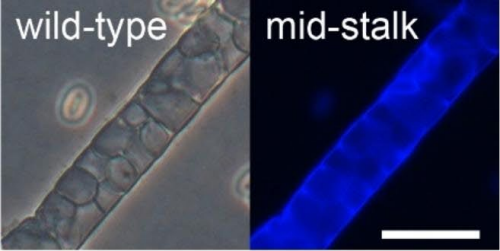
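In the phase contrast half, the stalk is a straight tube packed with many polygonal, box-like cells, several of them side by side across its width, giving a honeycomb-like pattern of thin walls. The whole tube is bounded by a smooth outer sheath of even thickness. In the fluorescence half, the sheath and the cell walls glow blue, the sheath most brightly along the two edges. A few small oval bodies lie free on the background beside the stalk.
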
